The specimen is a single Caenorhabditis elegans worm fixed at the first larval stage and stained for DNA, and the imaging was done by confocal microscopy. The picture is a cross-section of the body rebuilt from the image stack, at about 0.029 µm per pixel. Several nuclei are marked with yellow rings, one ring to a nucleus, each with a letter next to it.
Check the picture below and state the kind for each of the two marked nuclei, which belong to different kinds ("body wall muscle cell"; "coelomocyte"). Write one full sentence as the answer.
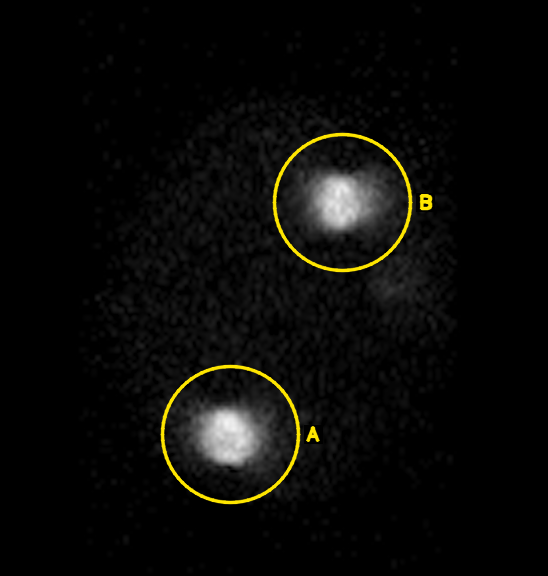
A is from a body wall muscle cell, and B is from a coelomocyte.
